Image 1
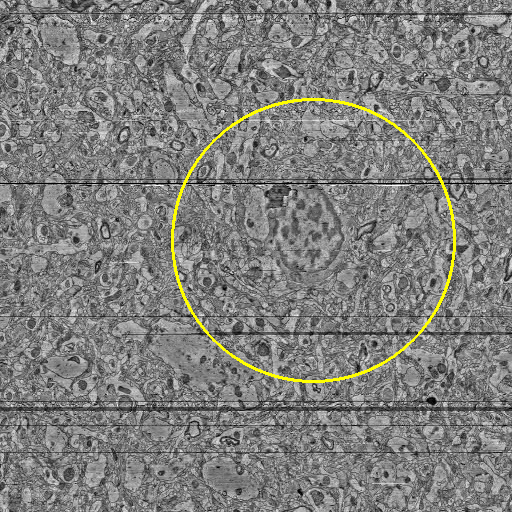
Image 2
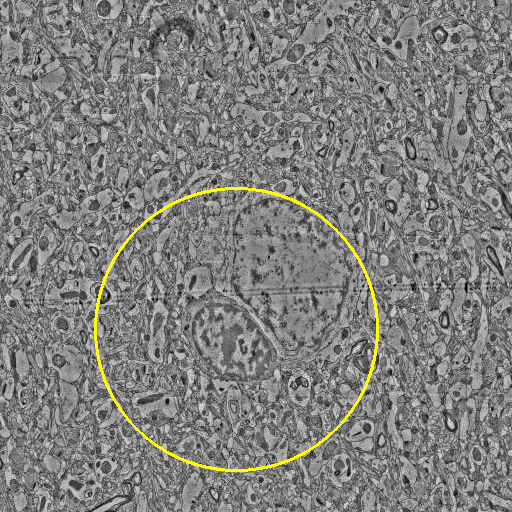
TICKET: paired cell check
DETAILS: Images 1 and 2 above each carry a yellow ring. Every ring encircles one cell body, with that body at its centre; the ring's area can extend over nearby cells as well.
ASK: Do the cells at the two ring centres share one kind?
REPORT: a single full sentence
Yes, the ring-centre cells of Images 1 and 2 belong to a single kind.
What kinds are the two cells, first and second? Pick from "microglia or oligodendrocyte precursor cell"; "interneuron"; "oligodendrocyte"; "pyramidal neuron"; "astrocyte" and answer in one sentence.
Both rings mark an oligodendrocyte, one in each picture.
